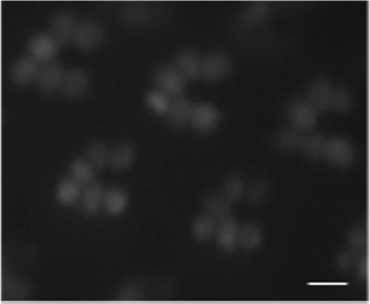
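Cross-section of fly retina showing ommatidia, each with a cluster of round photoreceptor rhabdomere profiles. Clusters are spaced regularly across the field with dark intervals between them. Fluorescence is confined largely to the rhabdomeres, with little signal in the surrounding cell bodies.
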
